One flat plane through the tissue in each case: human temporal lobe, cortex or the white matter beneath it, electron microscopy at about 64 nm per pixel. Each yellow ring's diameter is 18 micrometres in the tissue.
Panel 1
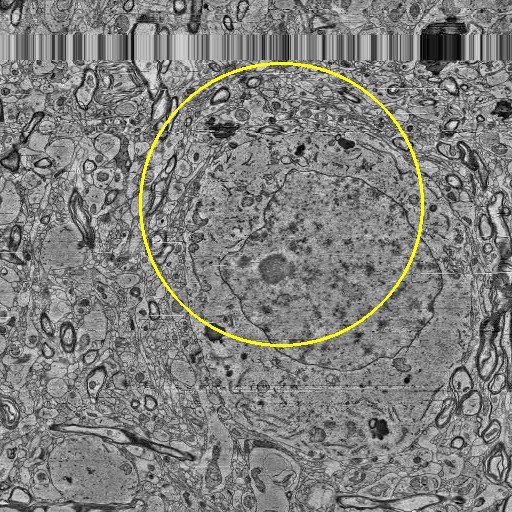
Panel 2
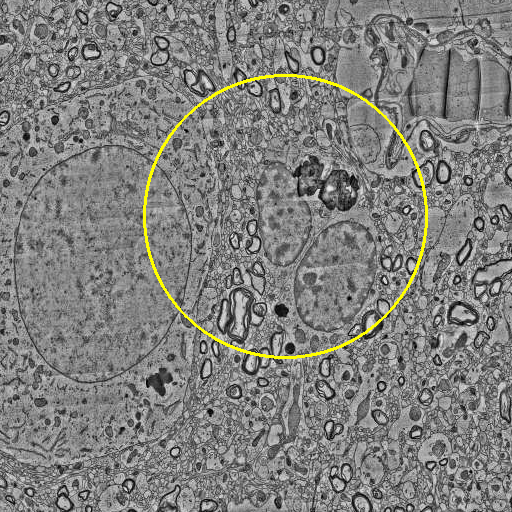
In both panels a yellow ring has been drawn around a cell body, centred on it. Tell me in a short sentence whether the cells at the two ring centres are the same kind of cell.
No, they are two kinds of cell.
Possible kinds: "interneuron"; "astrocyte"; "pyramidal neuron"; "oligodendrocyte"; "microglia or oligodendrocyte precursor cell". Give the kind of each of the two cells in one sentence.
The cell in the second picture is an oligodendrocyte, and that in the first is a pyramidal neuron.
